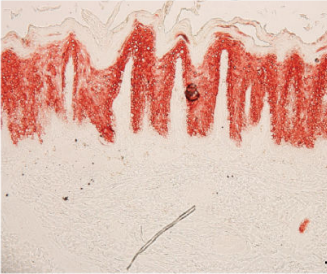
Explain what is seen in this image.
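The epidermis is much thickened and sends long, fairly regular finger-like projections, the rete ridges, down into the dermis, with narrow pale dermal papillae rising between them. Below, the dermis is pale with loose fibres and only a few small profiles, so the stain draws a sharp boundary that outlines the ridged lower border of the epidermis.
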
